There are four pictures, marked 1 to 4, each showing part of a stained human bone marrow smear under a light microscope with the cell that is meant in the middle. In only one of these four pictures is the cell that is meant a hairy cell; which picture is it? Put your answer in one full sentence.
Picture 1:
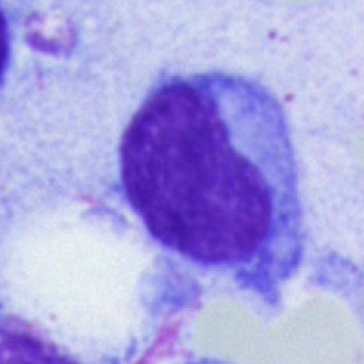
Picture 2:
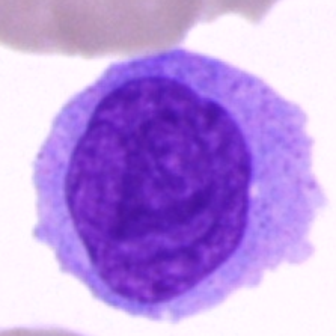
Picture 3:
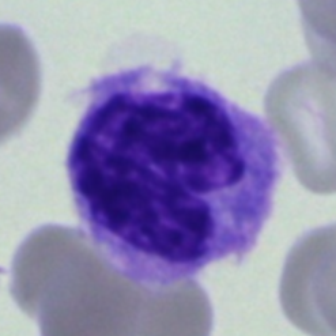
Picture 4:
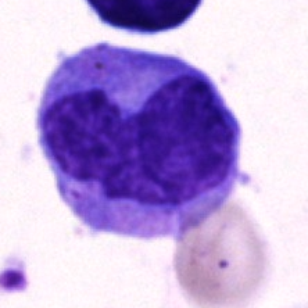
Picture 1 shows the hairy cell.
